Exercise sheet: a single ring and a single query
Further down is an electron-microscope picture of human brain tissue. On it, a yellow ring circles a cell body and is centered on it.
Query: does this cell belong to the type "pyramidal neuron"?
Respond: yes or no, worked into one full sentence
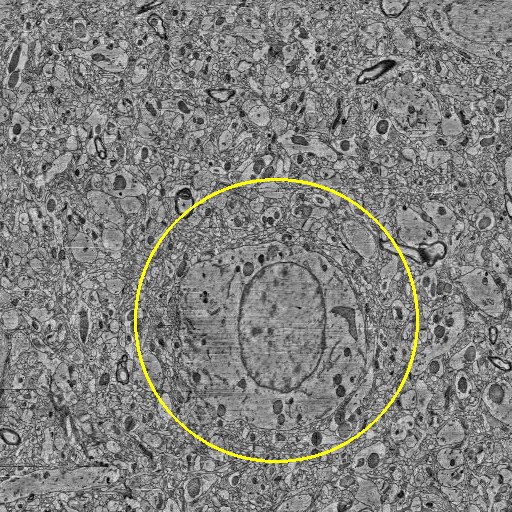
Yes, this ringed cell, found at the center of the ring in the picture, is of that type.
